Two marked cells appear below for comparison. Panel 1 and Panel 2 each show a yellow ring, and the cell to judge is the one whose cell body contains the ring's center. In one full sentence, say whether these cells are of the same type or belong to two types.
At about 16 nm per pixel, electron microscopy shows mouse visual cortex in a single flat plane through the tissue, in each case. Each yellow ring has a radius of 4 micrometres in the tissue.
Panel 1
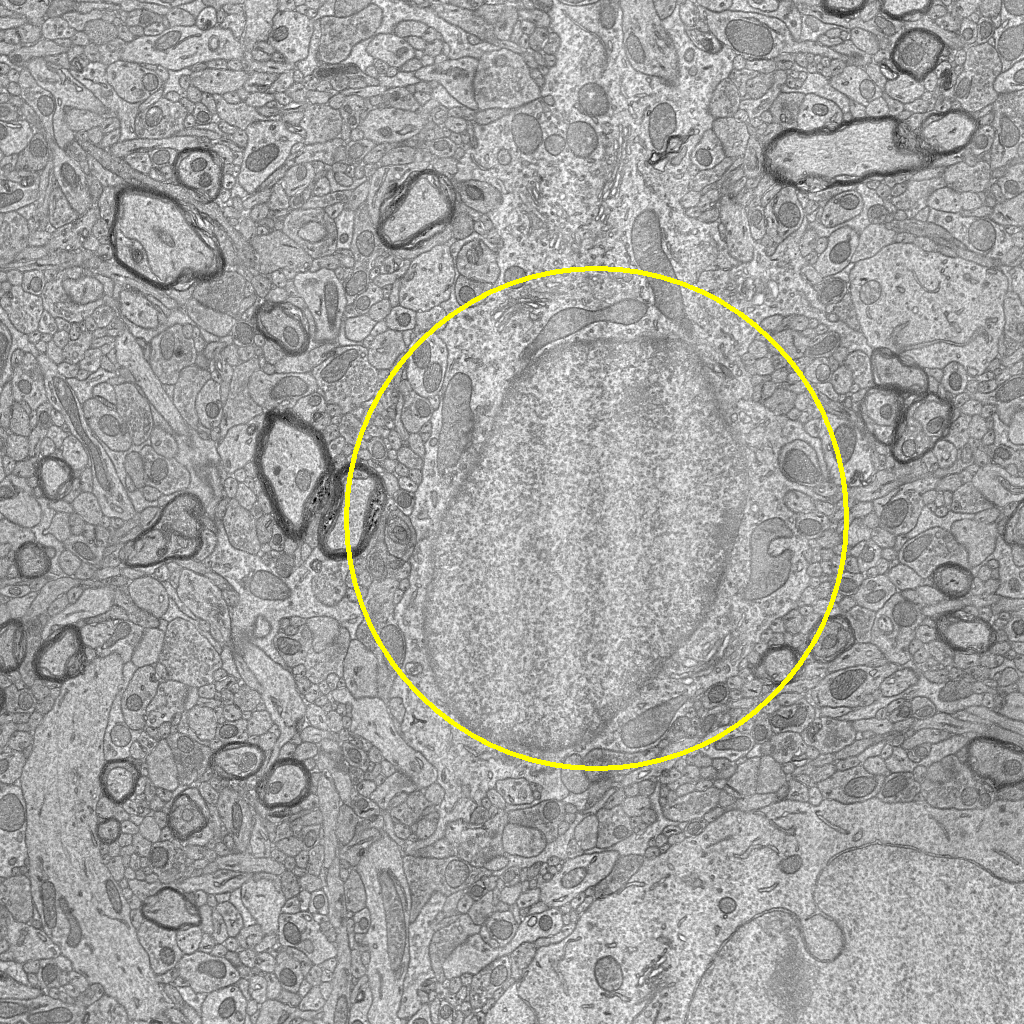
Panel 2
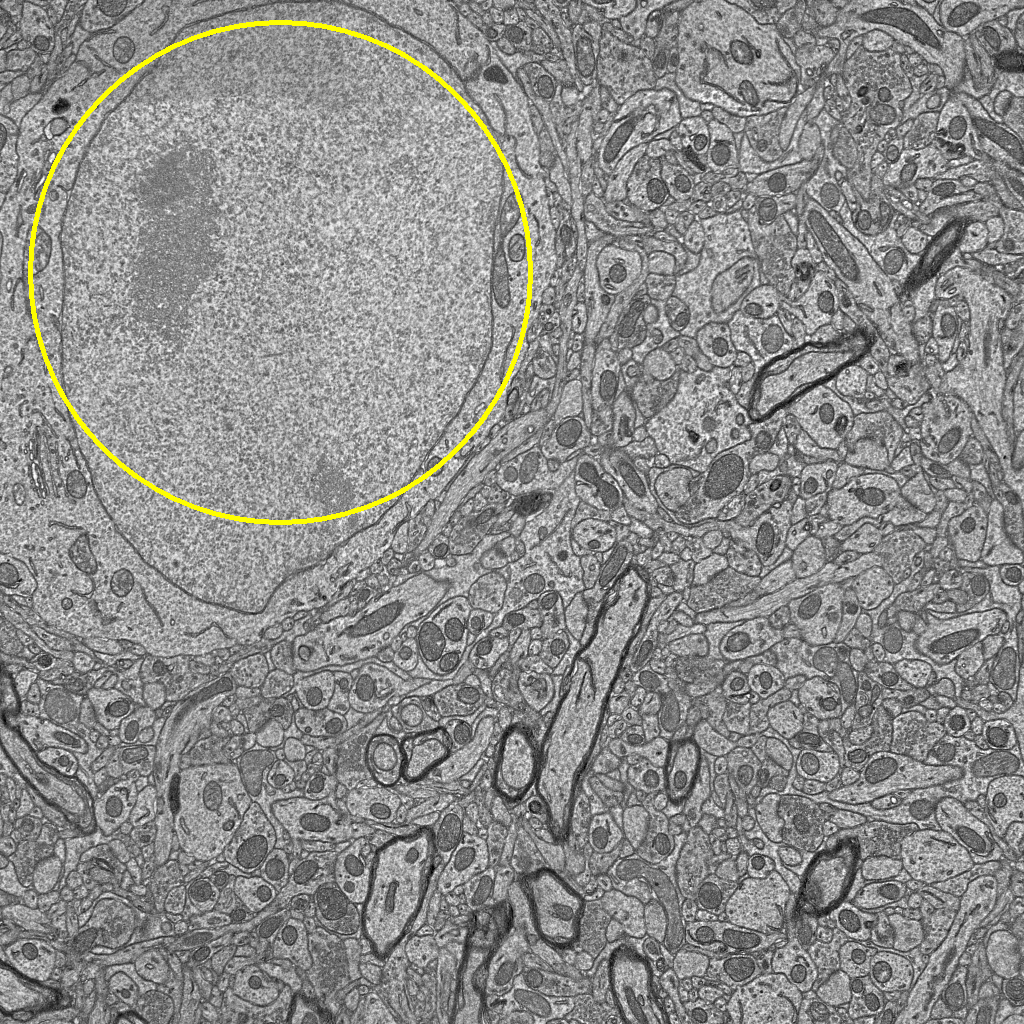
The cell at the ring's center in Panel 1 and the one in Panel 2 belong to two types.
